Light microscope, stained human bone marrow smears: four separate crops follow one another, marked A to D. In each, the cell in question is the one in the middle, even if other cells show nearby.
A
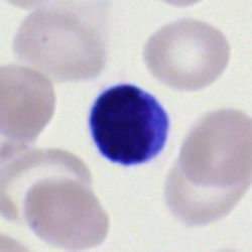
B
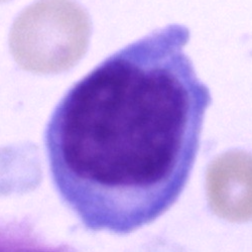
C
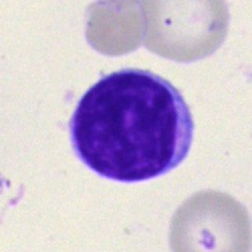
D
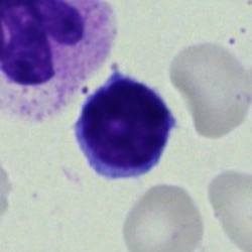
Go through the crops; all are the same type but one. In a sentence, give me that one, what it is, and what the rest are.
Although the other crops all show lymphocytes, crop B shows a blast.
